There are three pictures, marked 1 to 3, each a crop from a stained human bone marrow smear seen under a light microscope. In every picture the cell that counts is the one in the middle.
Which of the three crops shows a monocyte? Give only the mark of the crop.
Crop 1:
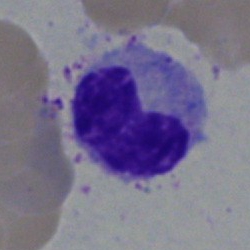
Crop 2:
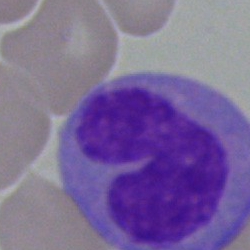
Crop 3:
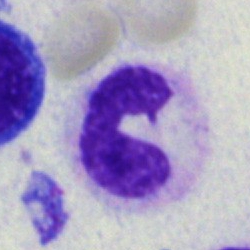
2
